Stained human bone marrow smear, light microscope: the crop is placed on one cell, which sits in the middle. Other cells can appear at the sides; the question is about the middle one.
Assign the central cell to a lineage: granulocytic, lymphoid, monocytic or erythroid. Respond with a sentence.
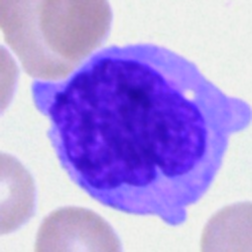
Attributed to the monocytic lineage is the centrally located cell.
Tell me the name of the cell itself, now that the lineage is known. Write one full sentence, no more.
Centred in the crop is a monocyte.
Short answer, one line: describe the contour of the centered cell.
Not smooth, the outline of the cell is ragged or drawn out into projections.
